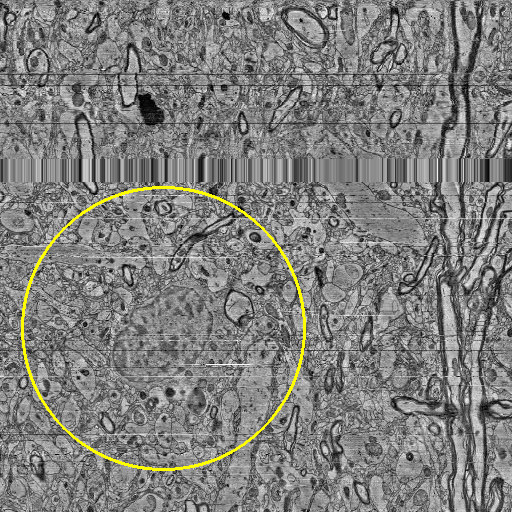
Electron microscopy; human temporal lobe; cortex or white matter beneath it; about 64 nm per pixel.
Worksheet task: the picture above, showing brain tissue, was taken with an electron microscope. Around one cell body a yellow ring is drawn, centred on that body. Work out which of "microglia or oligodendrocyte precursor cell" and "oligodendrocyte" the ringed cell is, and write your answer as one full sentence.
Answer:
It is an oligodendrocyte whose cell body lies at the centre of the yellow ring.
